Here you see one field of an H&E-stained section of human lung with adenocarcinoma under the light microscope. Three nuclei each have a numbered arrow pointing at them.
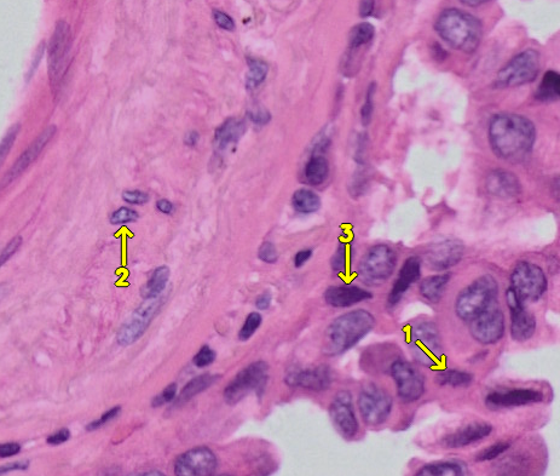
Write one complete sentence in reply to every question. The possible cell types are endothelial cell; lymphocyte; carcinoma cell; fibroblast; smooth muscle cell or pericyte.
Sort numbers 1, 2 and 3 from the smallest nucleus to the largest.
Smallest first, the nuclei run 2, 1, 3.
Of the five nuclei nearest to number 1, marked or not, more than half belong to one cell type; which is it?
Of the five nuclei nearest to number 1, most belong to carcinoma cells.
